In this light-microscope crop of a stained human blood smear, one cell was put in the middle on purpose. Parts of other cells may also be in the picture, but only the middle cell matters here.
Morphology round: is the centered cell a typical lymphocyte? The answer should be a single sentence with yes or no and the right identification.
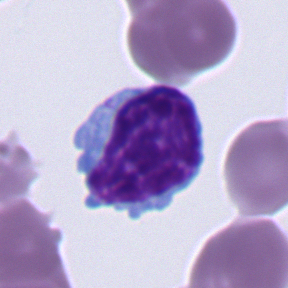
Yes, the cell at the very centre of the crop is a typical lymphocyte.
